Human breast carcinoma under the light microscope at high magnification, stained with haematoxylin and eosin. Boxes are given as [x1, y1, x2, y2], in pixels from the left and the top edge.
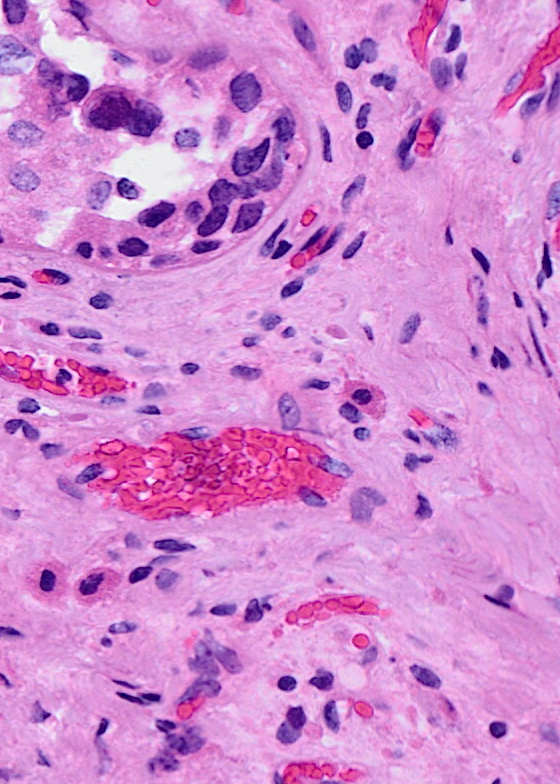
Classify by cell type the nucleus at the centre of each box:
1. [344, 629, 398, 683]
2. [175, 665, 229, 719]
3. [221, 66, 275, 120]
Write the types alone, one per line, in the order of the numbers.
endothelial cell
endothelial cell
carcinoma cell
